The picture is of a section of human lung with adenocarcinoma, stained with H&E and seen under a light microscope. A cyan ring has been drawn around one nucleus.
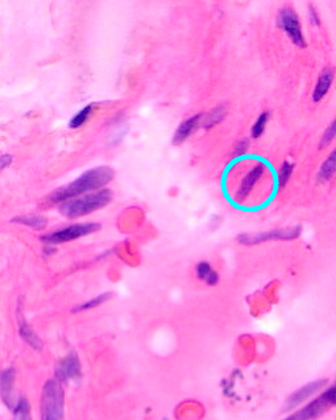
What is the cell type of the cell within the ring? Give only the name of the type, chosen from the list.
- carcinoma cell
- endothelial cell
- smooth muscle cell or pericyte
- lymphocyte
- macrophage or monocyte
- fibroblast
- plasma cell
smooth muscle cell or pericyte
